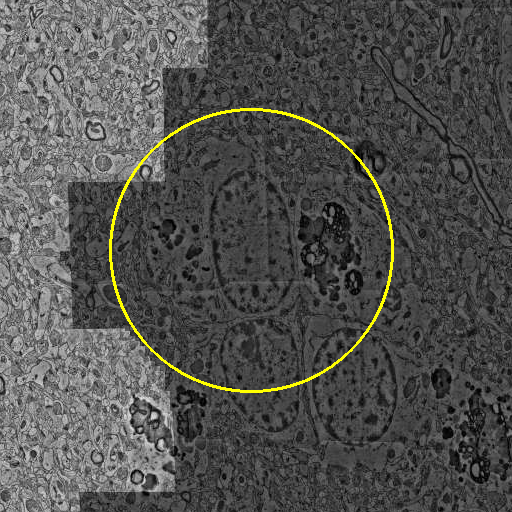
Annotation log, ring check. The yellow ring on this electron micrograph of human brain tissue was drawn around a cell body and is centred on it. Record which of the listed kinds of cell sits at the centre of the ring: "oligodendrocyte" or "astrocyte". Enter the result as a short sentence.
The cell at the centre of the ring is an astrocyte.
